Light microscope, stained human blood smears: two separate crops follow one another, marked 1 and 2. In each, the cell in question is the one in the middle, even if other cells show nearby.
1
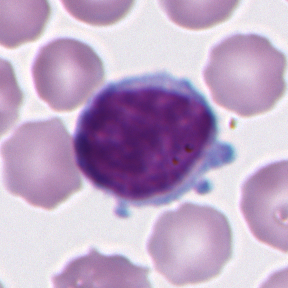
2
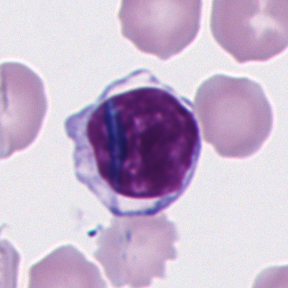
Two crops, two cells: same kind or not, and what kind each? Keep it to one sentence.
Yes, both crops show typical lymphocytes in their central position.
